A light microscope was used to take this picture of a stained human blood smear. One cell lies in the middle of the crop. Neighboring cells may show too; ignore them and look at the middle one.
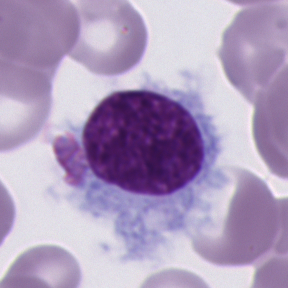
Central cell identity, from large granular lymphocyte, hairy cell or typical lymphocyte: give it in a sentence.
Answering briefly, the cell in the middle is a hairy cell.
